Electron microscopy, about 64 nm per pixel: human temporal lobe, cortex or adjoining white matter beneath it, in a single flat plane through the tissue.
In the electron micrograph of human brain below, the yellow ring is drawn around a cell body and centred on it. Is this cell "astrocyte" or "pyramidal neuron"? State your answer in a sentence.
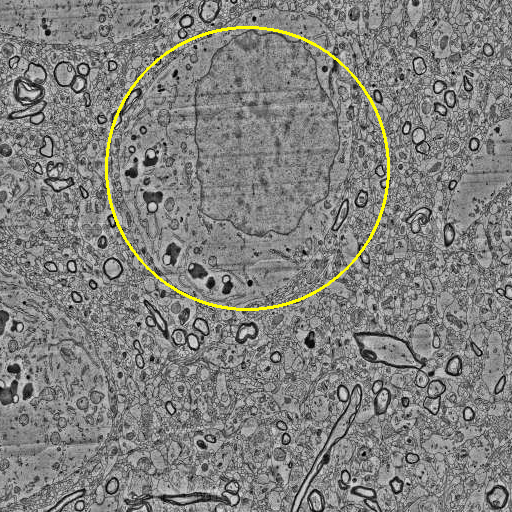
The cell in the middle of the ring is a pyramidal neuron.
